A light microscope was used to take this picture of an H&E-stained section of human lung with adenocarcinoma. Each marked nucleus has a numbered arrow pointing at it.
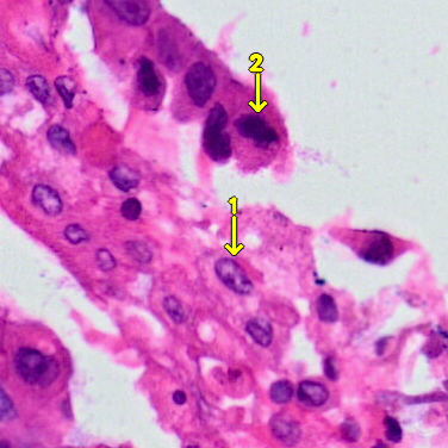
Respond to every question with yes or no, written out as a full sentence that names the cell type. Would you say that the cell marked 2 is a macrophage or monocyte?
No, the correct answer for cell 2 is a carcinoma cell, not a macrophage or monocyte.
